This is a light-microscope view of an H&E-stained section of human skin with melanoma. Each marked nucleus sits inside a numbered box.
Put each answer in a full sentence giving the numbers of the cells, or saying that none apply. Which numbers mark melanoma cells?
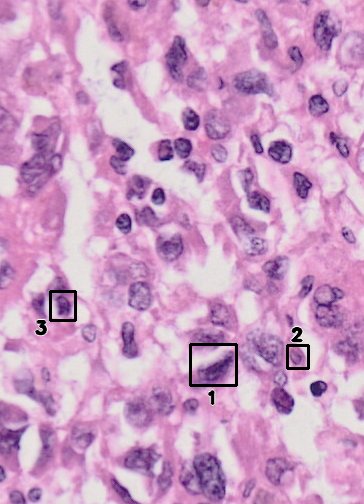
In short, the numbered cells 1 and 3 are melanoma cells.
